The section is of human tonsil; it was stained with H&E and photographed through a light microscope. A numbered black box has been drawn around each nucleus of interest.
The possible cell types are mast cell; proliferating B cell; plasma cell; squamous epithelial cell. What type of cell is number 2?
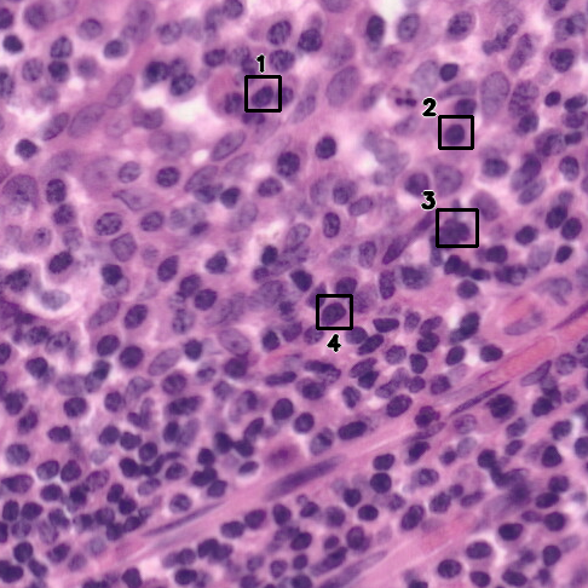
plasma cell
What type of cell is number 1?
plasma cell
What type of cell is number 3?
squamous epithelial cell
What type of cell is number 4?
plasma cell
